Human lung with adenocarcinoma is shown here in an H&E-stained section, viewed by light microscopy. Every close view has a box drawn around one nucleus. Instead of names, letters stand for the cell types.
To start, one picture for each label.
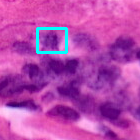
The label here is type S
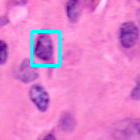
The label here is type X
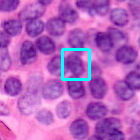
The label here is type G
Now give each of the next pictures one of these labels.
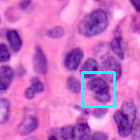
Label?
type G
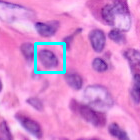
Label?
type G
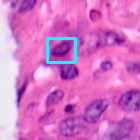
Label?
type X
